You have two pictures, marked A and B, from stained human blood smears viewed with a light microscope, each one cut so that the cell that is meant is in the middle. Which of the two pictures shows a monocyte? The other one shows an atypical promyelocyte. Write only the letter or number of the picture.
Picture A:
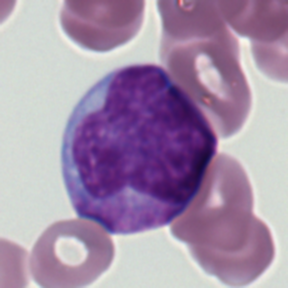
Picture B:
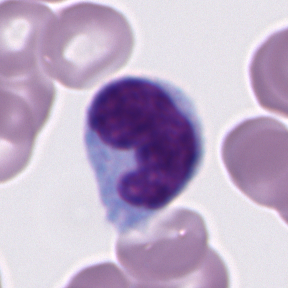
B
